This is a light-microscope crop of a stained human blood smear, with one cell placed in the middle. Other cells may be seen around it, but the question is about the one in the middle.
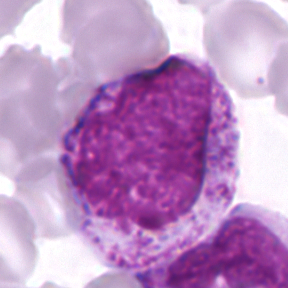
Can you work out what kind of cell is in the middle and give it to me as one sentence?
The cell the crop is centered on is a myelocyte.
